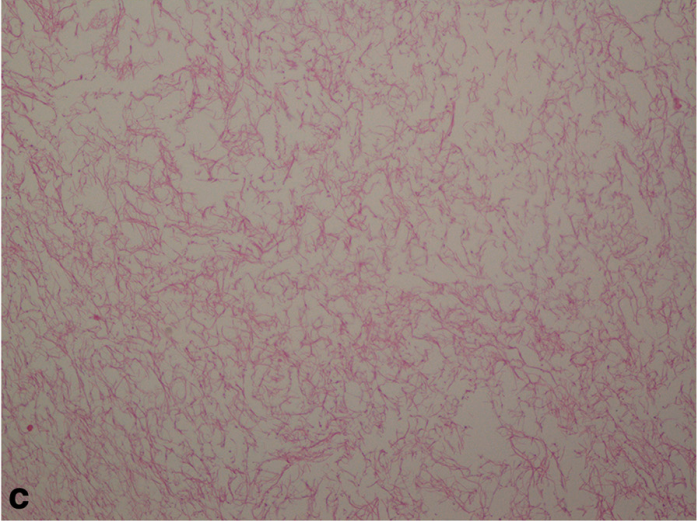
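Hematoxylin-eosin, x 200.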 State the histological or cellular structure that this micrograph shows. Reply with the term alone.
Fibrin with pink network aspect.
